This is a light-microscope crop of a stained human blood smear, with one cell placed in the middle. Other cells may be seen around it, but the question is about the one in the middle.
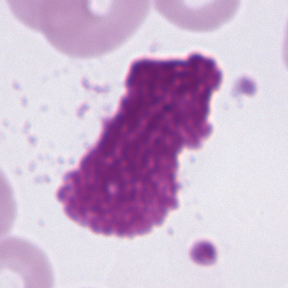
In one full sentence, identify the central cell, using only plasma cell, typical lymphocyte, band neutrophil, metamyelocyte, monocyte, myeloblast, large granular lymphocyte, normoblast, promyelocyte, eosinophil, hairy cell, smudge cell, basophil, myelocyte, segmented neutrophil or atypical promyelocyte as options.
Seen at the centre of the crop is a smudge cell.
